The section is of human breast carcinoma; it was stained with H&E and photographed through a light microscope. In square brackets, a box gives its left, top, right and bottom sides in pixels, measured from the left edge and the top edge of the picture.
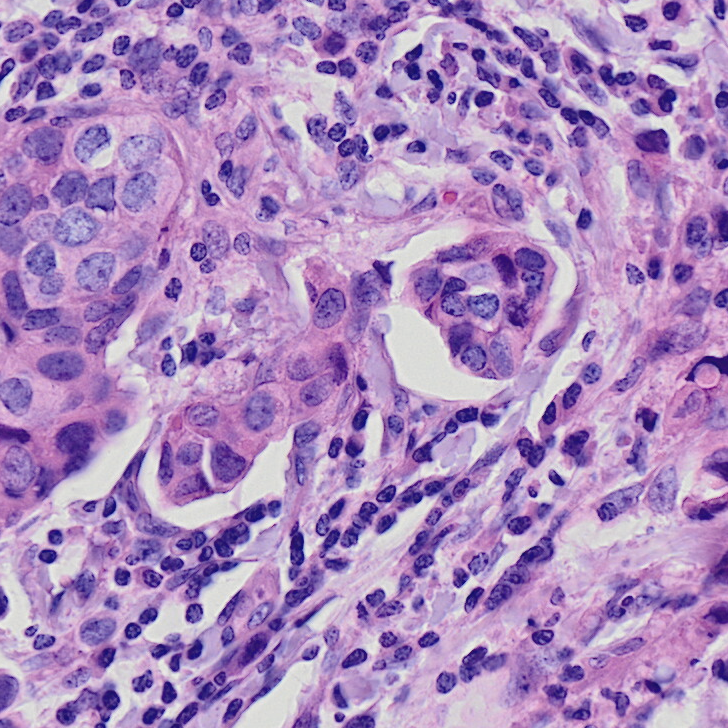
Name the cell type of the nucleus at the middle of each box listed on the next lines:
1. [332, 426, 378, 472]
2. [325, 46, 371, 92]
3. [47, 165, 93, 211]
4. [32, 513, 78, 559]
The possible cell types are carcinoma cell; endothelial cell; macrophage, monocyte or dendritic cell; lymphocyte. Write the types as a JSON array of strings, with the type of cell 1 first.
["lymphocyte", "lymphocyte", "carcinoma cell", "lymphocyte"]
